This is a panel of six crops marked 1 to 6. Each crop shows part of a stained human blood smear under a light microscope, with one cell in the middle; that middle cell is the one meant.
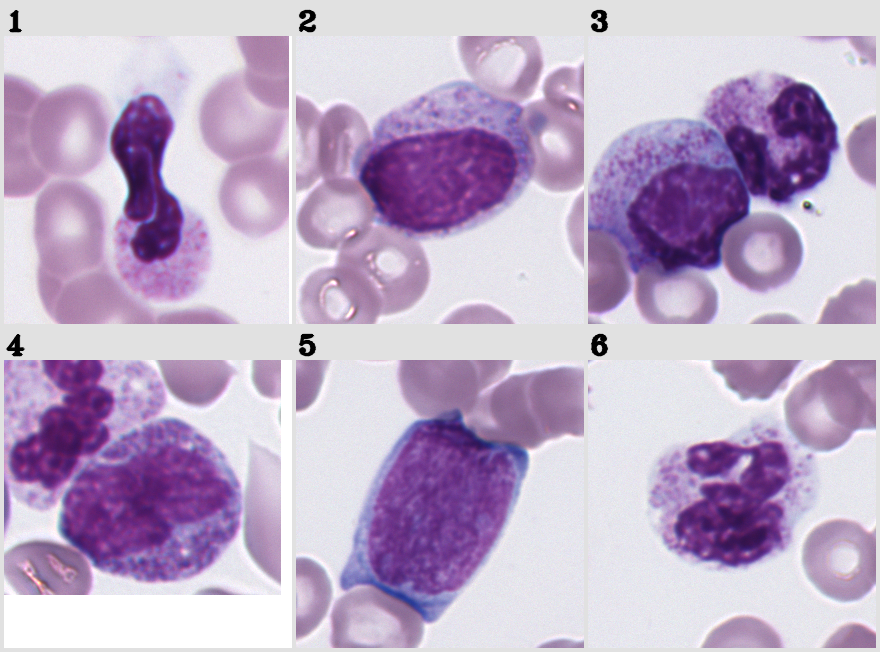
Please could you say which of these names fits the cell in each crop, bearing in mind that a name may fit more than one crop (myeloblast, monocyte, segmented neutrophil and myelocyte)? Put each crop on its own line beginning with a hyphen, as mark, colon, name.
- 1: segmented neutrophil
- 2: myelocyte
- 3: myelocyte
- 4: myelocyte
- 5: myeloblast
- 6: segmented neutrophil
